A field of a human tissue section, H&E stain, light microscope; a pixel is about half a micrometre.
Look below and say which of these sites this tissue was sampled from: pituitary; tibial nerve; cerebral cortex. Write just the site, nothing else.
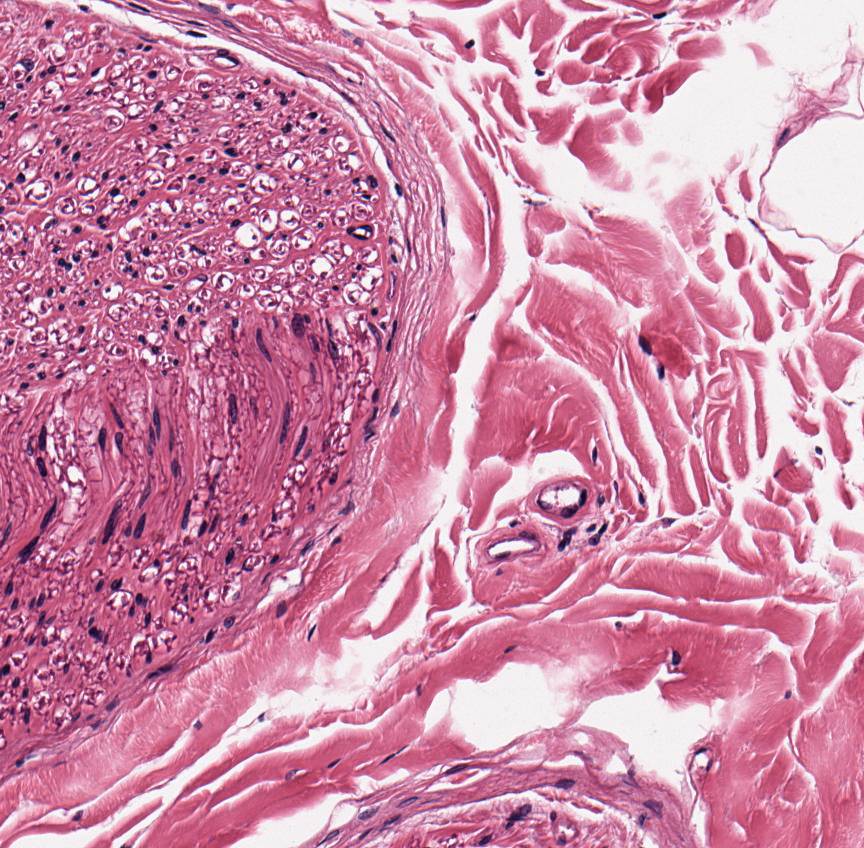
tibial nerve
